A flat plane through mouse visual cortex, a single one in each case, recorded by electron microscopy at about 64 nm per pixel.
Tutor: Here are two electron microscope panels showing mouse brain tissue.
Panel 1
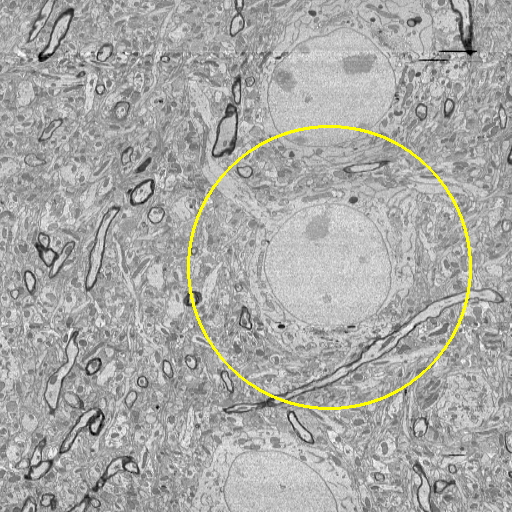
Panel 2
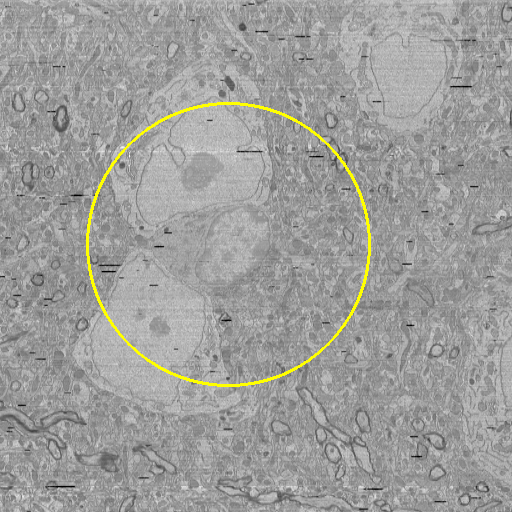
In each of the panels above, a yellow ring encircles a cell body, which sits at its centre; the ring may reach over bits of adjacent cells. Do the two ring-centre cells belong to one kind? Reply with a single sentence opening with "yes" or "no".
No, the two cells sitting at the ring centres in the panels belong to two kinds.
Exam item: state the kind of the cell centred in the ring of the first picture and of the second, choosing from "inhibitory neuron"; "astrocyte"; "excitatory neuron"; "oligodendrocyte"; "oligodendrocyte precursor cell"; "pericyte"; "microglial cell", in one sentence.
The first picture shows an excitatory neuron at the ring centre and the second shows an oligodendrocyte.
